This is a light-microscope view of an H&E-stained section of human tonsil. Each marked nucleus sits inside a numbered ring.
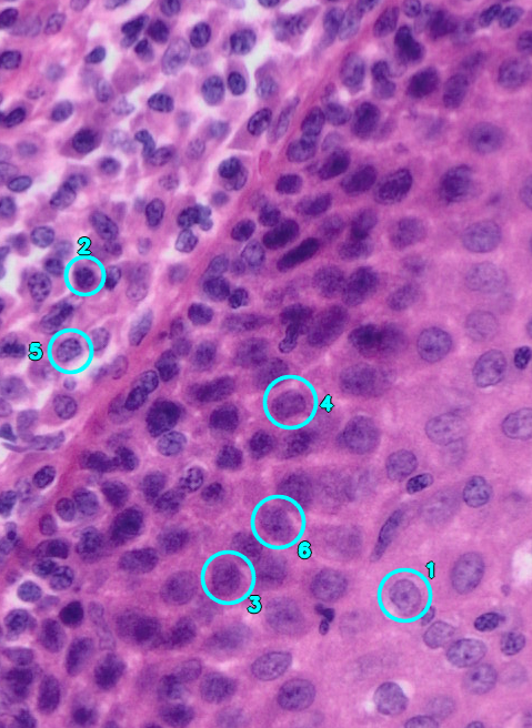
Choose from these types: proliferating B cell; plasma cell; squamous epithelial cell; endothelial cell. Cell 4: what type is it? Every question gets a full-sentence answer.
The cell to which the number 4 is assigned is a squamous epithelial cell.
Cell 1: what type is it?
The one labeled 1 is a squamous epithelial cell, to put it simply.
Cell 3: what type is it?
Classified as a squamous epithelial cell is the cell with the number 3.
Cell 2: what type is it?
In the tissue shown, cell 2 is a plasma cell.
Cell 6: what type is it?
In this section, number 6 marks a squamous epithelial cell.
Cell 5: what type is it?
The label 5 in this section denotes a plasma cell.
